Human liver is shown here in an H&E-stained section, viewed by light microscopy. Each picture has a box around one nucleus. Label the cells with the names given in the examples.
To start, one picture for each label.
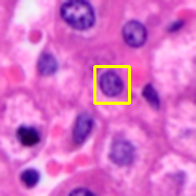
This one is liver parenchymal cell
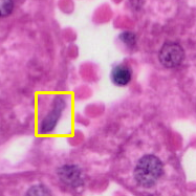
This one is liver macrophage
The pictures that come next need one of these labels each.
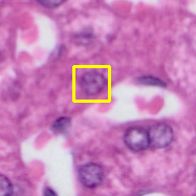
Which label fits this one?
liver parenchymal cell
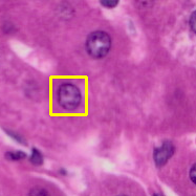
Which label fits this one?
liver parenchymal cell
